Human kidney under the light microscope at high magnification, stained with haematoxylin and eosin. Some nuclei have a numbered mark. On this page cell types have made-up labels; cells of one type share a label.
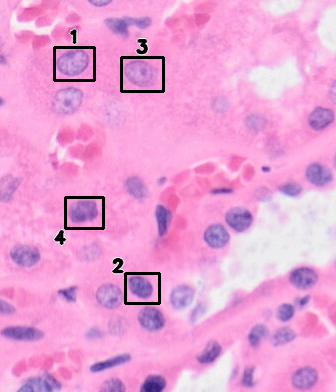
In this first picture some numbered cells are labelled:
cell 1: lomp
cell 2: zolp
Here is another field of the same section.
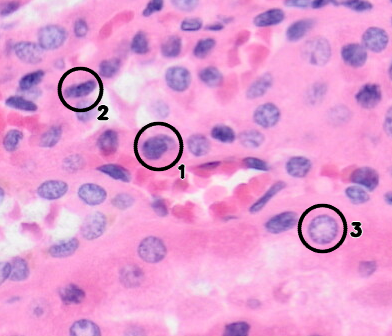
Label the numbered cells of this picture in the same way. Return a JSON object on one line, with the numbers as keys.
{"1": "zolp", "2": "zolp", "3": "lomp"}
